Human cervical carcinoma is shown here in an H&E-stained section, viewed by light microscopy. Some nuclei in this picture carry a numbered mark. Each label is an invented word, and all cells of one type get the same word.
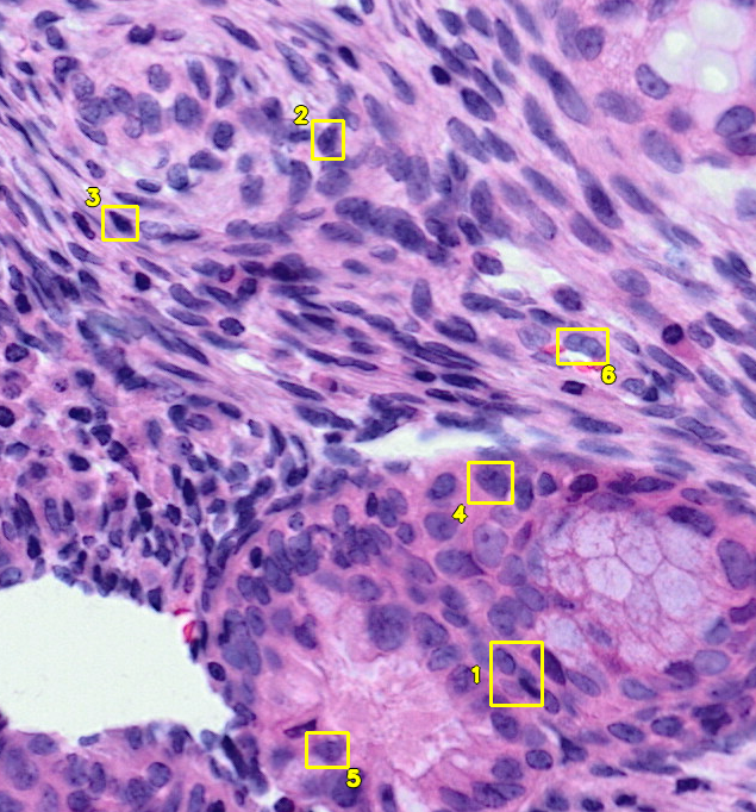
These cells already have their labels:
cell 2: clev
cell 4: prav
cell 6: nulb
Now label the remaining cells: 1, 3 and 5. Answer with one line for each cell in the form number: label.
1: prav
3: clev
5: prav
